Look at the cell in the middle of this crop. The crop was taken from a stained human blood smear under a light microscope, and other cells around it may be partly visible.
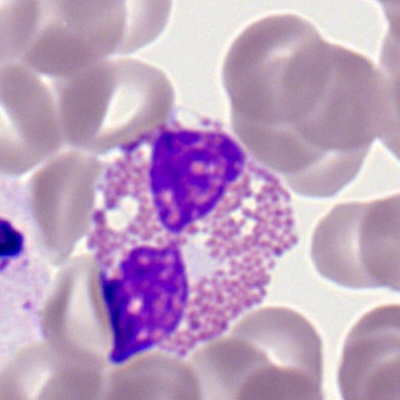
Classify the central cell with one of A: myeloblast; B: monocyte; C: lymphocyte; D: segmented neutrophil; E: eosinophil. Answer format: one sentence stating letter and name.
The cell in the center of this crop is an eosinophil, so option E is the one to pick.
